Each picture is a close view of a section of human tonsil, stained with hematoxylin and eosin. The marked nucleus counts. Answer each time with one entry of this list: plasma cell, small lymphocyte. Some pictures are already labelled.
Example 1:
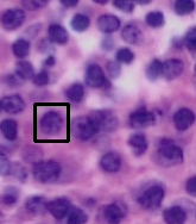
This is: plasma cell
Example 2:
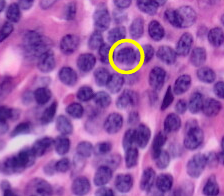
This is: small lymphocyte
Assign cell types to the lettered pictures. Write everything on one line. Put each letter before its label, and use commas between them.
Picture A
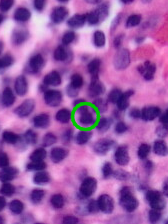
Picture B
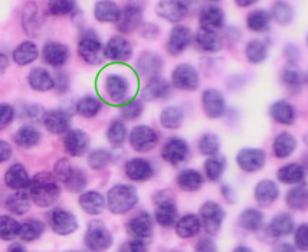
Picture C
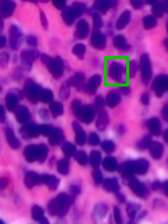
A small lymphocyte, B small lymphocyte, C plasma cell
